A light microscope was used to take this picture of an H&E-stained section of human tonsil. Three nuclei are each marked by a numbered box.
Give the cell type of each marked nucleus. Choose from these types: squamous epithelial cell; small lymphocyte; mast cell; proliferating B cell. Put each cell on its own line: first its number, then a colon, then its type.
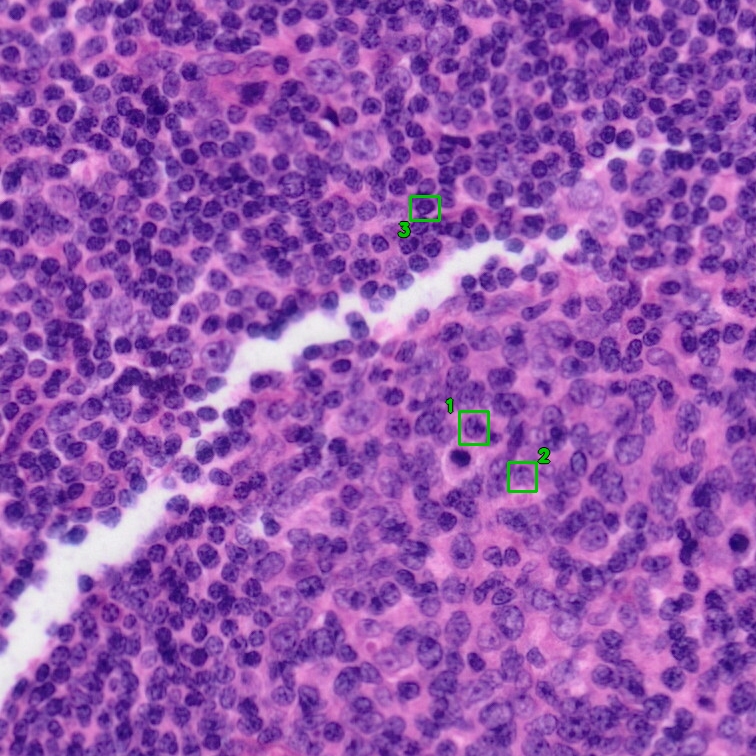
1: proliferating B cell
2: proliferating B cell
3: small lymphocyte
